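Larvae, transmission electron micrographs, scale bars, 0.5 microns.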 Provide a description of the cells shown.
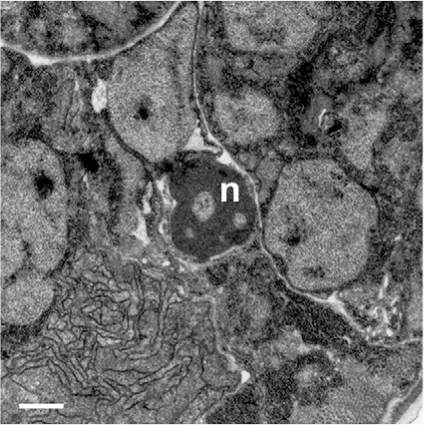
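Among tightly packed cells with large grey nuclei sits one small, rounded cell that is far darker than everything around it. Pale empty spaces separate this cell from its neighbours, while a mass of folded membranes fills the lower left. This shrunken, dense cell with condensed chromatin is a cell corpse.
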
